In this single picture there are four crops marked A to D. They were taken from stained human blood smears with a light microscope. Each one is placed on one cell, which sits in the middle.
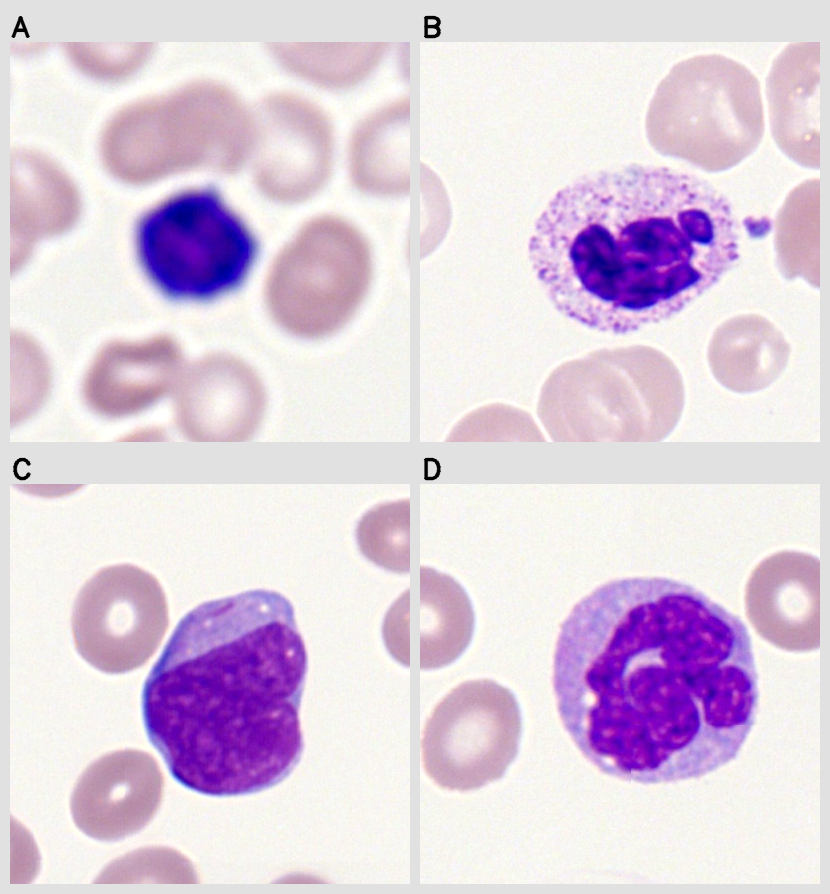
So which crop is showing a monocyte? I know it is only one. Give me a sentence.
Crop D is the right one; it is the crop showing a monocyte.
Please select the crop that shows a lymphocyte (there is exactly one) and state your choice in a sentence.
Crop A, and no other, is the one that shows a lymphocyte.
